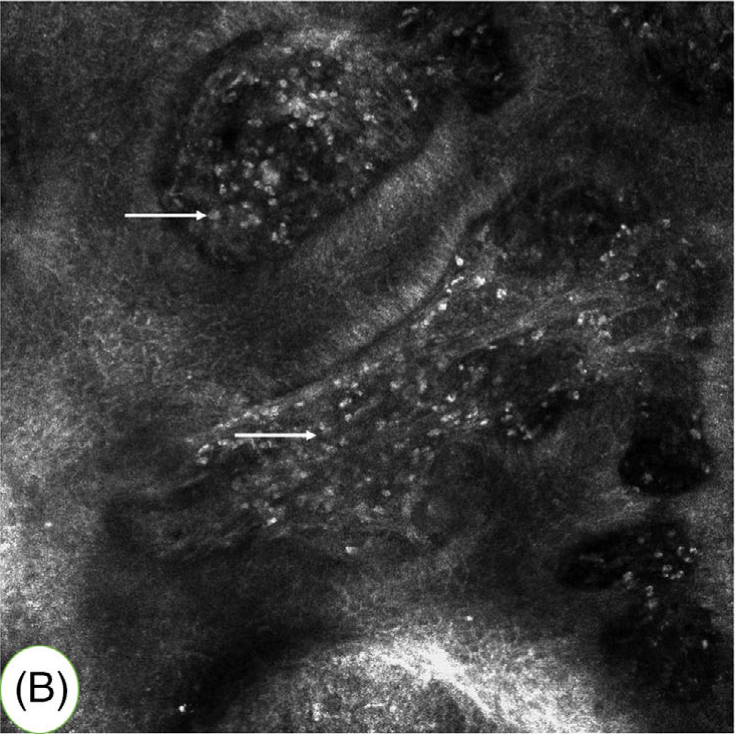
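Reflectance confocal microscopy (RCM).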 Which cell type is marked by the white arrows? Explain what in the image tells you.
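Inflammatory cells. Many small, very bright round to oval dots. The bright dots are scattered within darker rounded and elongated zones.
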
